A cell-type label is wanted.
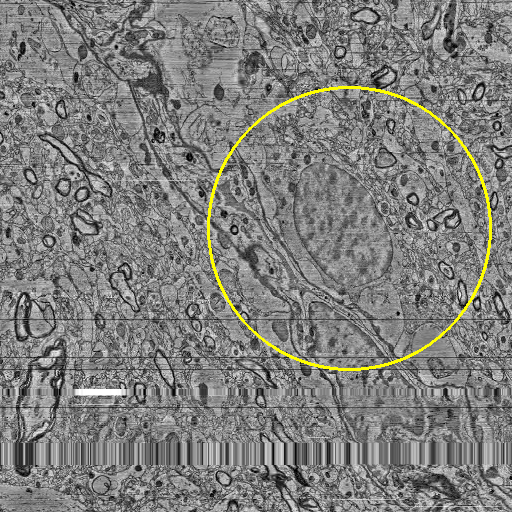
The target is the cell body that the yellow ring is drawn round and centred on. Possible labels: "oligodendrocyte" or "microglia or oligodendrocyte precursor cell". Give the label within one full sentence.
Of the labels offered, the cell in the middle of the yellow ring is an oligodendrocyte.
